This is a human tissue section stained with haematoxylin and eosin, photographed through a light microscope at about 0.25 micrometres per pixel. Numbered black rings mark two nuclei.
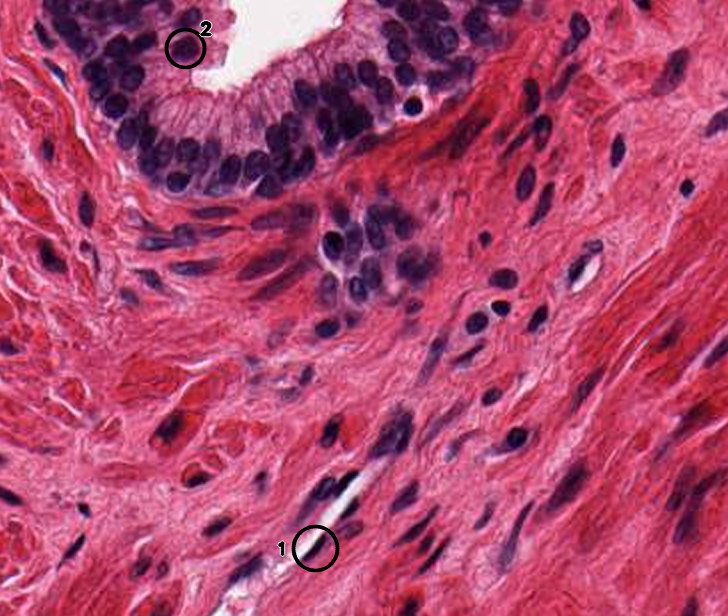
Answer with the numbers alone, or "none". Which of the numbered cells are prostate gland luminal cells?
2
